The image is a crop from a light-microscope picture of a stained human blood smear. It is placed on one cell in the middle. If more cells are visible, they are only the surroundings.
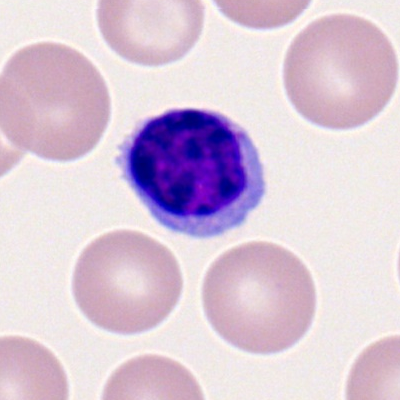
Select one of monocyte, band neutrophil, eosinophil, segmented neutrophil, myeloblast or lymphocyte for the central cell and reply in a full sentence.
Occupying the centre of the crop is a lymphocyte.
